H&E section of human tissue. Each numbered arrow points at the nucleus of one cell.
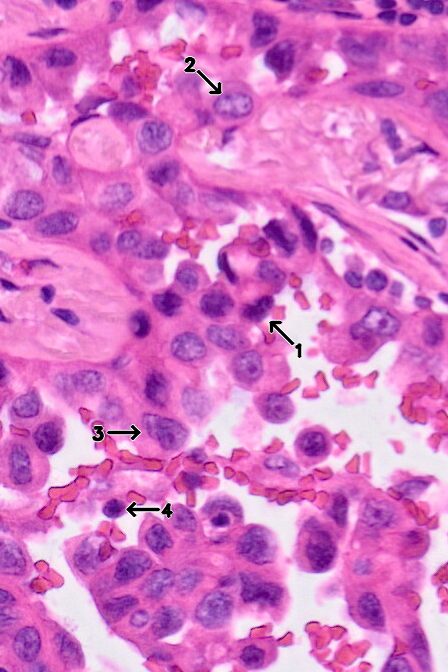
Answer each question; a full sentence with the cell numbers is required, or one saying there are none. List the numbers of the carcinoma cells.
In this section, the cells labelled 1, 2 and 3 are carcinoma cells.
